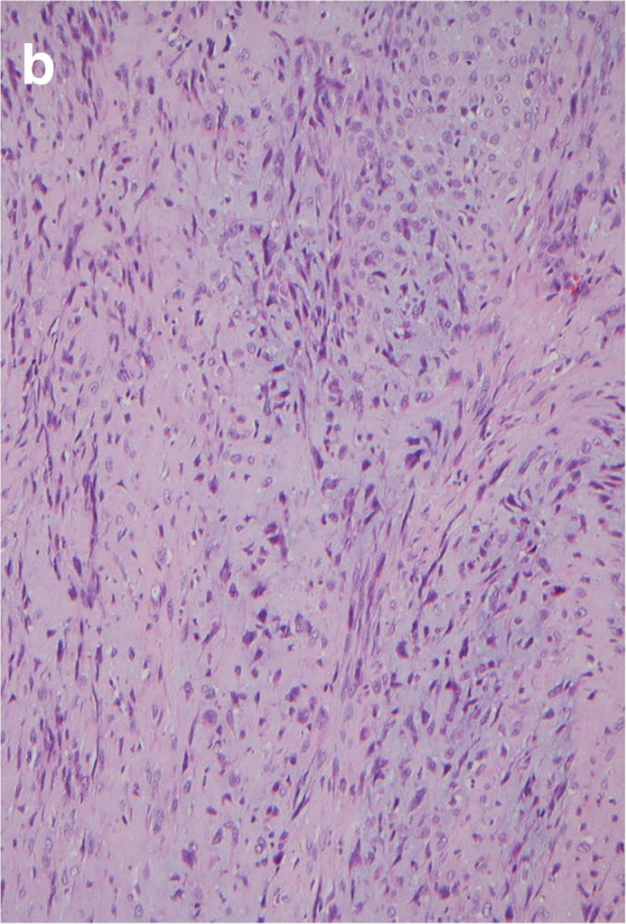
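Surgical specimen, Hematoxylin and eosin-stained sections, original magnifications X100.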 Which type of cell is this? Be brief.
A: Spindle-shaped tumor cells.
